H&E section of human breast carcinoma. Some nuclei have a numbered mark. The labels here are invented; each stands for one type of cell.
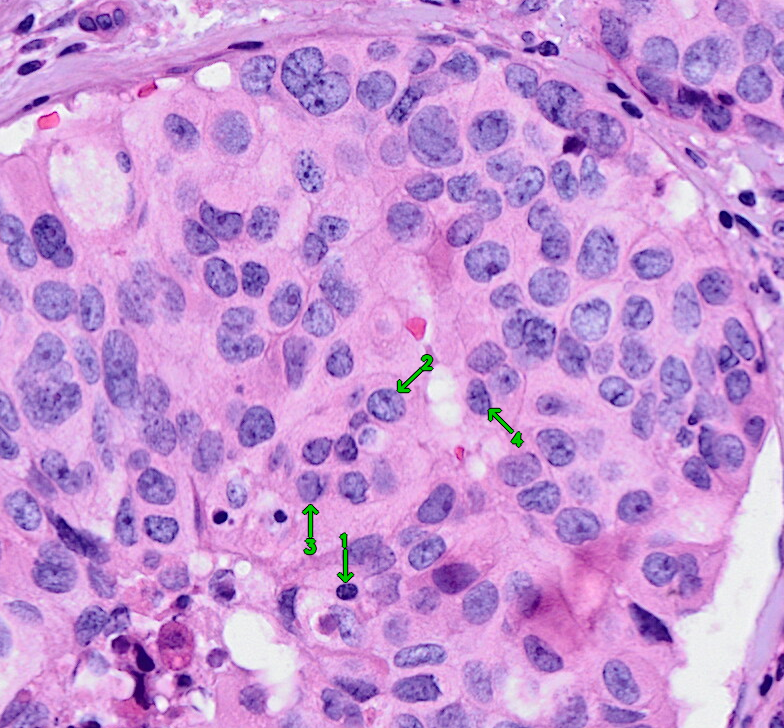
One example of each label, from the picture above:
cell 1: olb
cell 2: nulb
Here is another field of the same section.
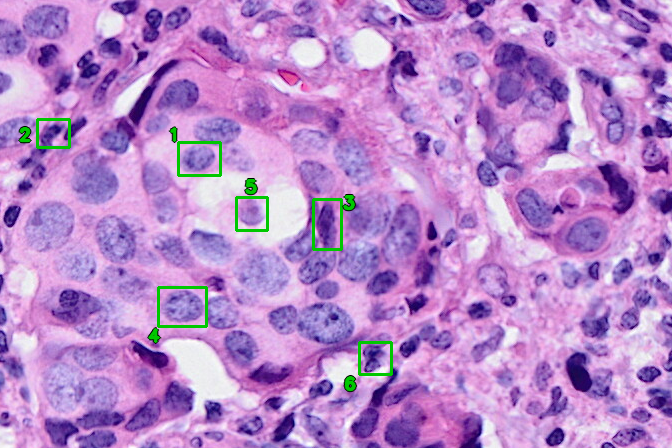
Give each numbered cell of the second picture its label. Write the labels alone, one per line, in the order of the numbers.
nulb
olb
nulb
nulb
nulb
olb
